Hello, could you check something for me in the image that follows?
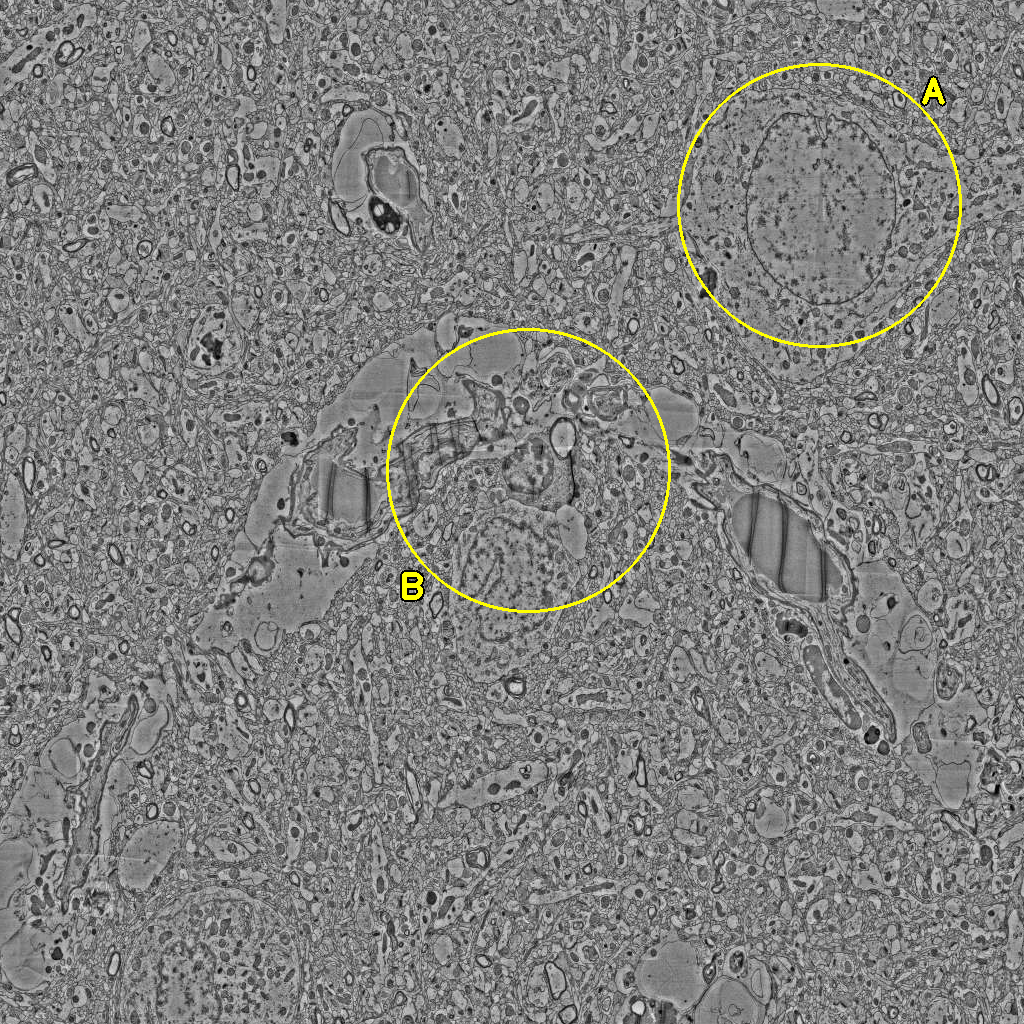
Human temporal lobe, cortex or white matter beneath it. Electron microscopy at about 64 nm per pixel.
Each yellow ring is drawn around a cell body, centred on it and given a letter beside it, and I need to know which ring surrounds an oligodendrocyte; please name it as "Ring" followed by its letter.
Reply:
Ring B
